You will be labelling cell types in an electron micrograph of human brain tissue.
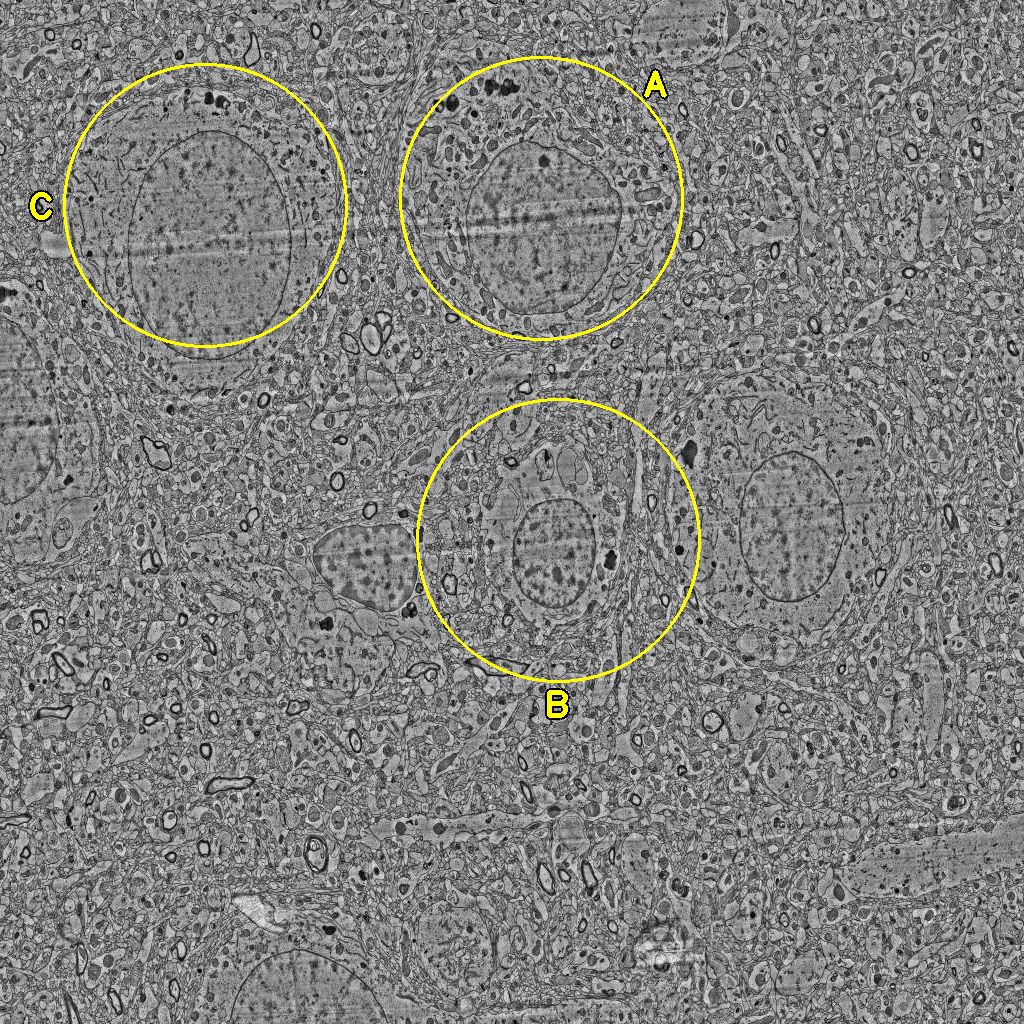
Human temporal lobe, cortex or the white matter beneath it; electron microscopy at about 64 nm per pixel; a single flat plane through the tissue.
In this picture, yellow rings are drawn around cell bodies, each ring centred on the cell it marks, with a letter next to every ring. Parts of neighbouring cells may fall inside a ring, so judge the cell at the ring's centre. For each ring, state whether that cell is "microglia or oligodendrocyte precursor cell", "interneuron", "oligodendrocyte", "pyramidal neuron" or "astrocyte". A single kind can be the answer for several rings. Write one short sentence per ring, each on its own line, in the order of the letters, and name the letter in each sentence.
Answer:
Ring A contains an interneuron at its centre.
Ring B contains an astrocyte at its centre.
Ring C contains a pyramidal neuron at its centre.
